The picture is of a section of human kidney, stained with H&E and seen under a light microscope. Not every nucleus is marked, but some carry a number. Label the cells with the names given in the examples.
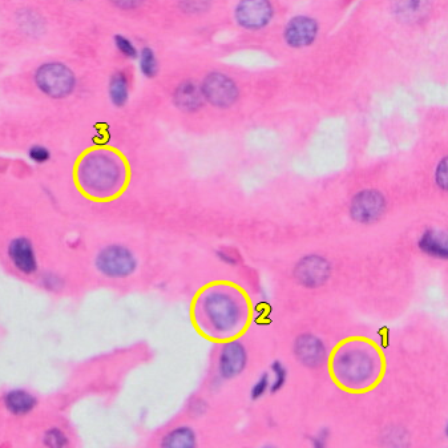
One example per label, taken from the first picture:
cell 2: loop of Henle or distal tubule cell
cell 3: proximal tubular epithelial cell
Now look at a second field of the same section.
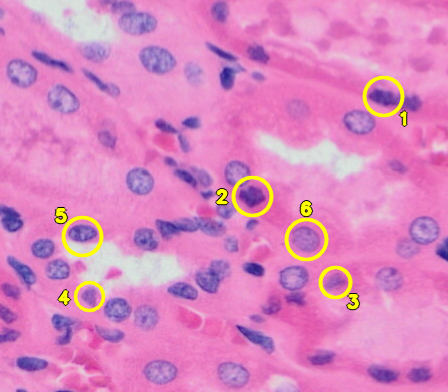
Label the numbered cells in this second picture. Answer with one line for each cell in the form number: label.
1: proximal tubular epithelial cell
2: proximal tubular epithelial cell
3: proximal tubular epithelial cell
4: loop of Henle or distal tubule cell
5: loop of Henle or distal tubule cell
6: proximal tubular epithelial cell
